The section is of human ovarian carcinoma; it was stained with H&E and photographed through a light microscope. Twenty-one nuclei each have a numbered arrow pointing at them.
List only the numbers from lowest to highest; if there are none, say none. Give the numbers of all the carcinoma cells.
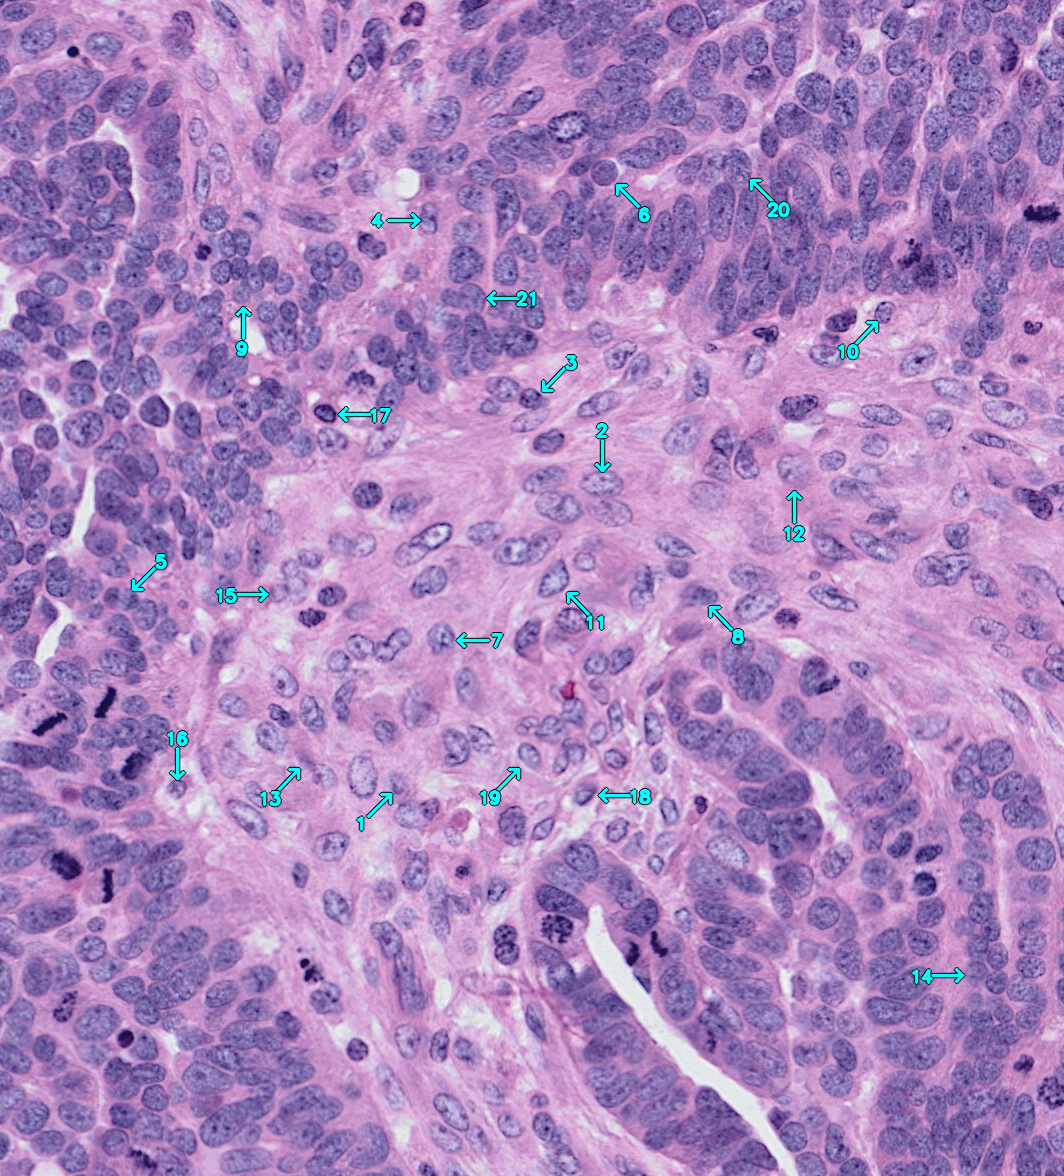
5, 6, 9, 14, 20, 21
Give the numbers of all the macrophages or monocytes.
3, 10, 16, 17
